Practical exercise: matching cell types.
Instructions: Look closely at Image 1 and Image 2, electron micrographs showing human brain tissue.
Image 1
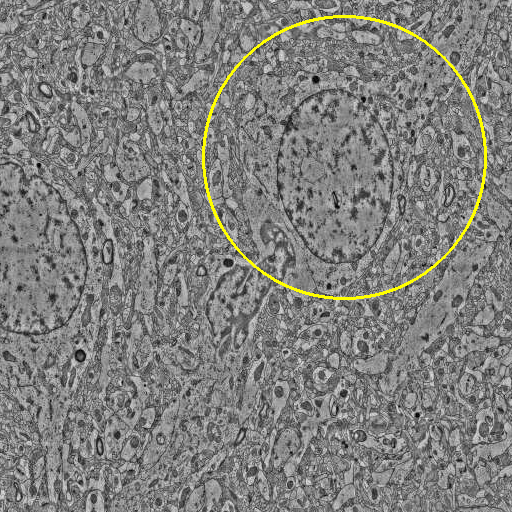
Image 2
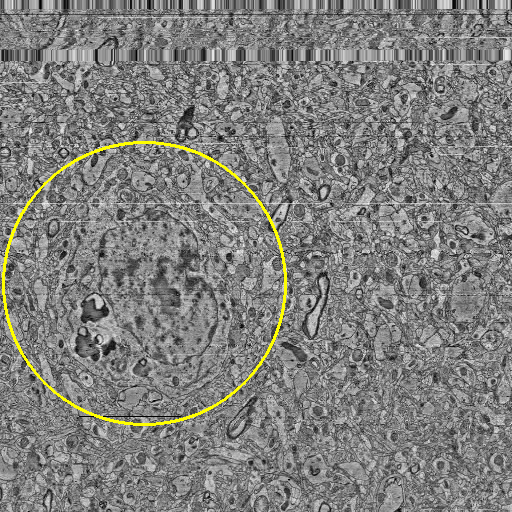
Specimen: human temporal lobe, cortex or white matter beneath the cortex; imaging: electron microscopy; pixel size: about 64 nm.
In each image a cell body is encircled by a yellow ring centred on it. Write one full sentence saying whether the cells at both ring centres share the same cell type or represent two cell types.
Across Image 1 and Image 2, the cells at the ring centres represent two cell types.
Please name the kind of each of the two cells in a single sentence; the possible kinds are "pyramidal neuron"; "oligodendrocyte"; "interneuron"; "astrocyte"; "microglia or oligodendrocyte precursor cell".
In the first picture the ring is centred on a pyramidal neuron, and in the second on an interneuron.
